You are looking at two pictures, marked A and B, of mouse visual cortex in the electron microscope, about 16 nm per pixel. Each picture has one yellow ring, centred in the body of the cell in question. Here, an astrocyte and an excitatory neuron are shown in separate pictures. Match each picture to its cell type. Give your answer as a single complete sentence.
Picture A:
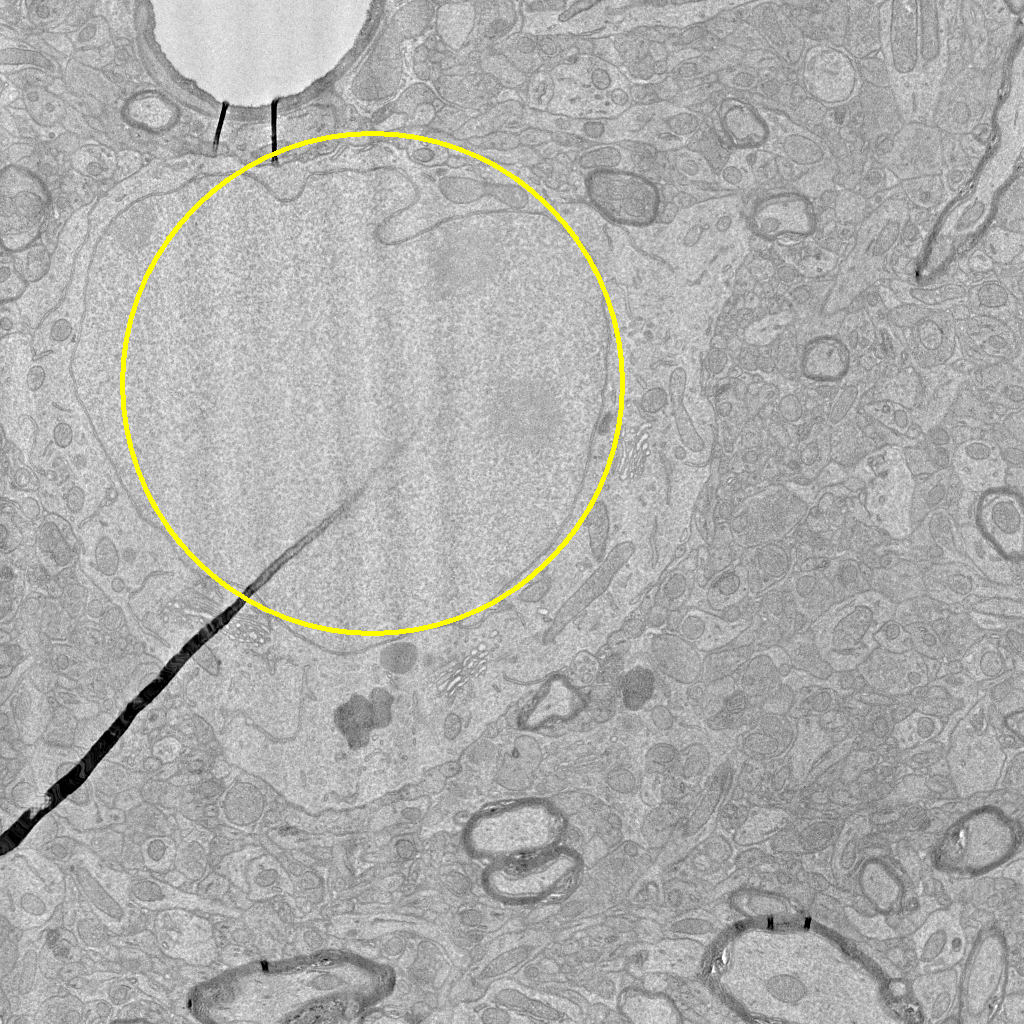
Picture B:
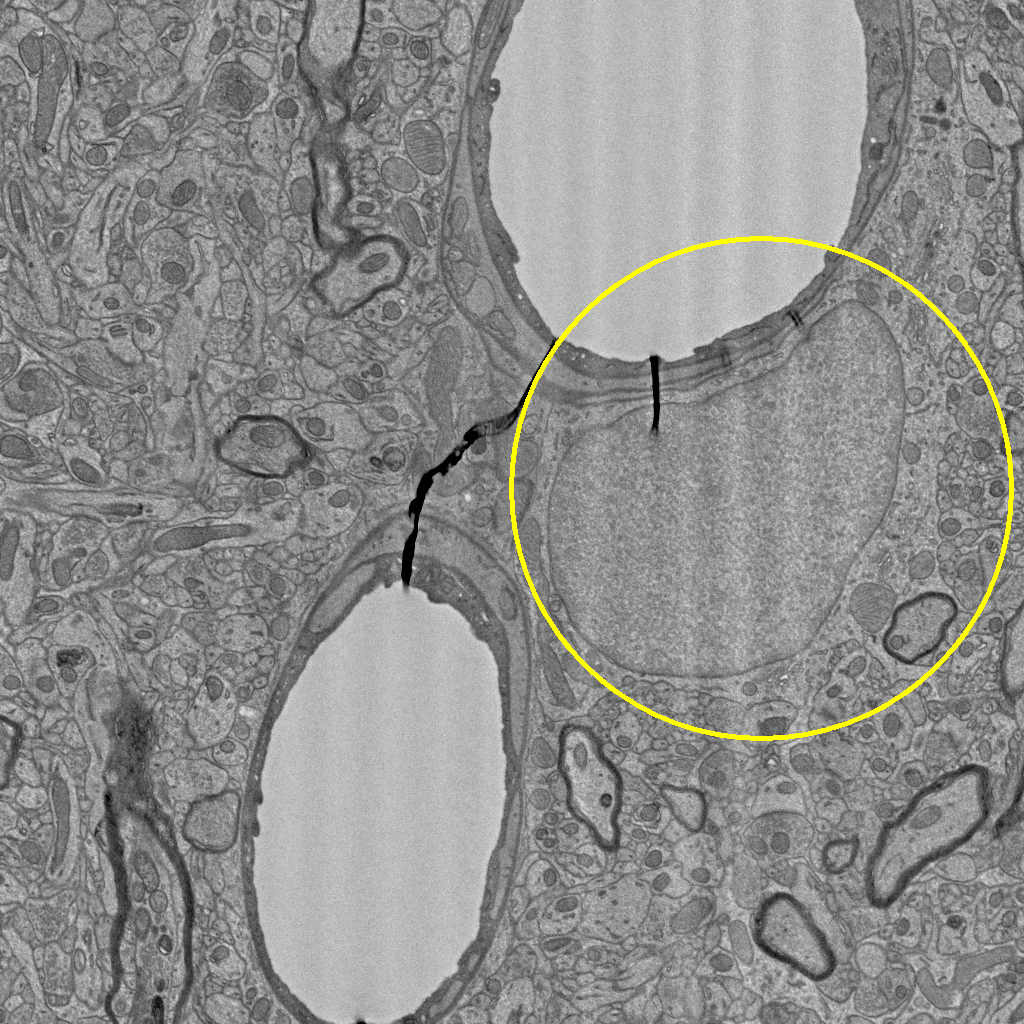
Picture A shows an excitatory neuron and picture B shows an astrocyte.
